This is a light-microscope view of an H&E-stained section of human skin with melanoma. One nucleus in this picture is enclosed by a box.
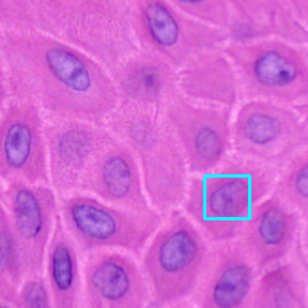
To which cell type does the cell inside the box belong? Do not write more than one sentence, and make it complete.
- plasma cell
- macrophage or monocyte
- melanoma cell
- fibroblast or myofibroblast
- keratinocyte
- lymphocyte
In short, the cell inside the box on this section is a keratinocyte.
